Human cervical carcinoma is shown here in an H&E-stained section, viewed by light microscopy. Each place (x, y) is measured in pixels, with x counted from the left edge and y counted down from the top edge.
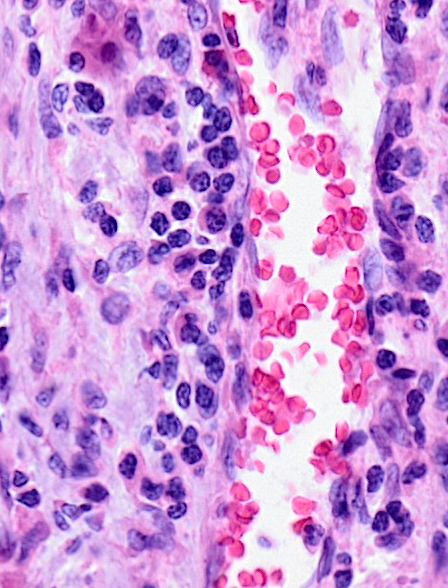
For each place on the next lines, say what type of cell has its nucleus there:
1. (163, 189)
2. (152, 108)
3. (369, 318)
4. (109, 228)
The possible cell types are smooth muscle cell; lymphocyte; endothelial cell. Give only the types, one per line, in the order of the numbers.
lymphocyte
lymphocyte
endothelial cell
lymphocyte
